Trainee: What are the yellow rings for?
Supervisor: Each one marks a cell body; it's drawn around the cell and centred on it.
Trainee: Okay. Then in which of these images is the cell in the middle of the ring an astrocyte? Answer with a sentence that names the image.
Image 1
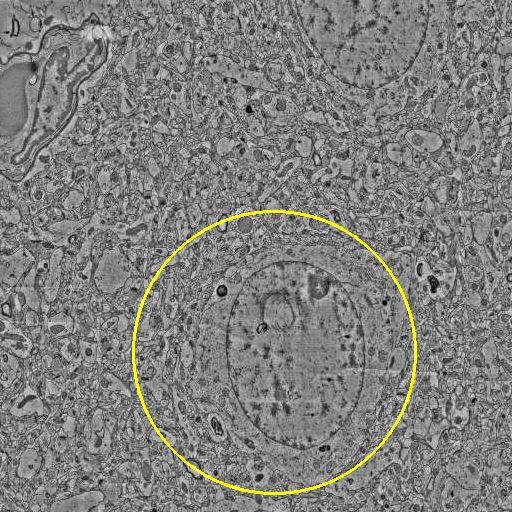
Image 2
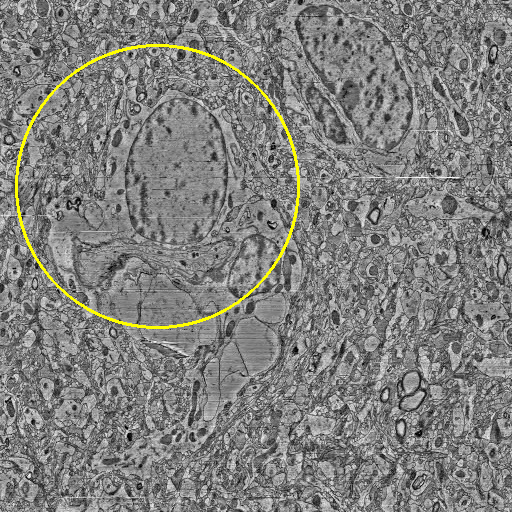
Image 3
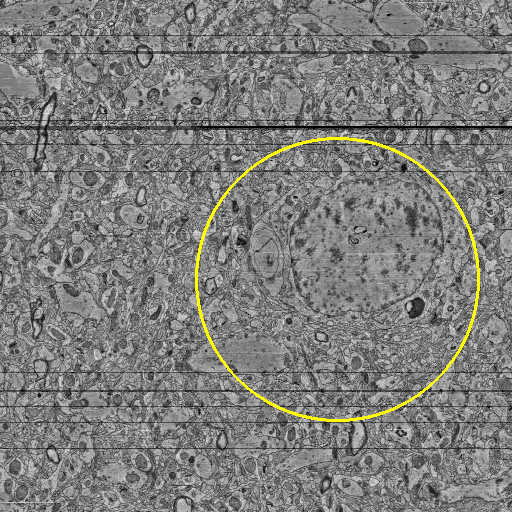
Image 2 has it in the middle of the ring.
